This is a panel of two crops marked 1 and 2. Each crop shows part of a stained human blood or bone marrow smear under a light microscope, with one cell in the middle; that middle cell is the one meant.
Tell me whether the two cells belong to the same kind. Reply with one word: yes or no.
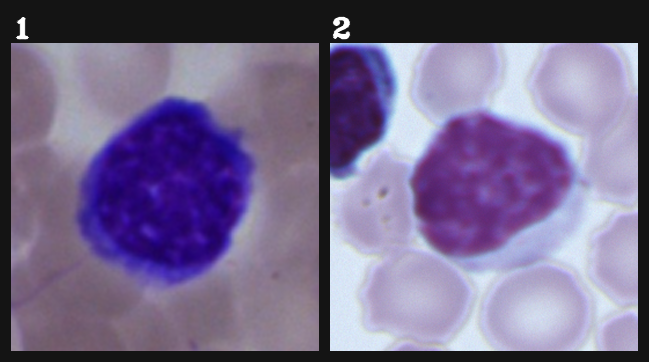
yes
